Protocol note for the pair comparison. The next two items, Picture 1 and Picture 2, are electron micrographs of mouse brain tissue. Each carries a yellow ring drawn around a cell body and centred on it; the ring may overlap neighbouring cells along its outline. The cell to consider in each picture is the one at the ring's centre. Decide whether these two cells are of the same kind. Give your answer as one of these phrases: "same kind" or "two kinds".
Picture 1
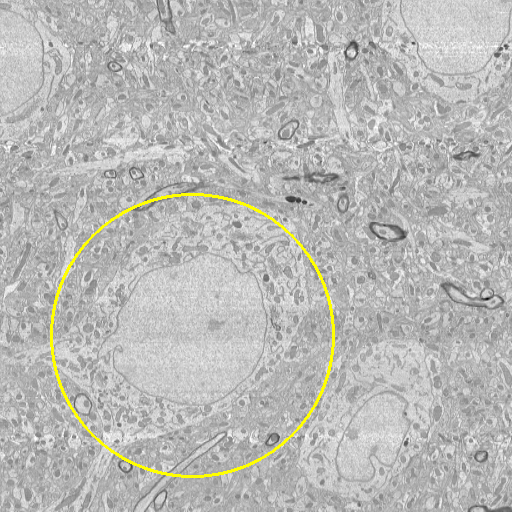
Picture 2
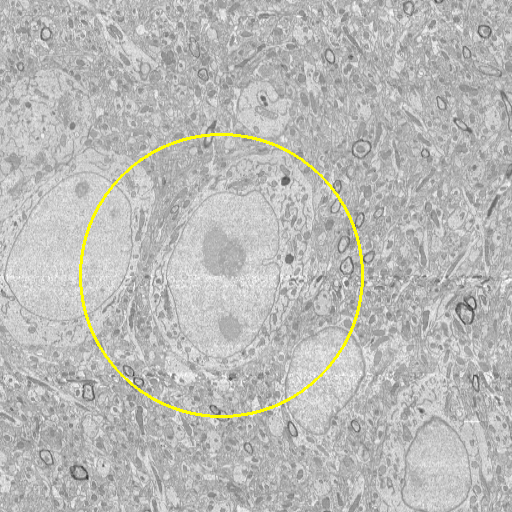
same kind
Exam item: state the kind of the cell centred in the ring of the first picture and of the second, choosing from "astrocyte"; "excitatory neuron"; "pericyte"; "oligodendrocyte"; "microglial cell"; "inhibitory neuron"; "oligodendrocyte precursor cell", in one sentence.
The first and the second cell are each an inhibitory neuron.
